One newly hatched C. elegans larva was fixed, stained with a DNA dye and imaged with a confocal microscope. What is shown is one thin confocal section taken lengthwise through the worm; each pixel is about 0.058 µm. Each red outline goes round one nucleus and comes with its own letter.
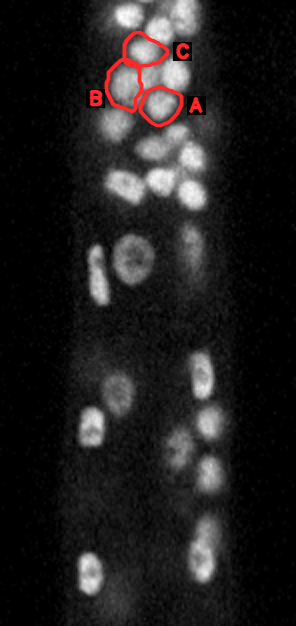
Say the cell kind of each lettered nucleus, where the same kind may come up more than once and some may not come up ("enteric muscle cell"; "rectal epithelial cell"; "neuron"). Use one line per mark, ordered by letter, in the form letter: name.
A: neuron
B: rectal epithelial cell
C: neuron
